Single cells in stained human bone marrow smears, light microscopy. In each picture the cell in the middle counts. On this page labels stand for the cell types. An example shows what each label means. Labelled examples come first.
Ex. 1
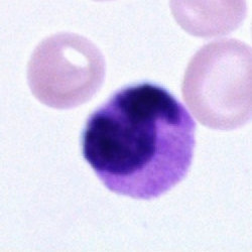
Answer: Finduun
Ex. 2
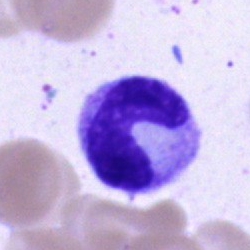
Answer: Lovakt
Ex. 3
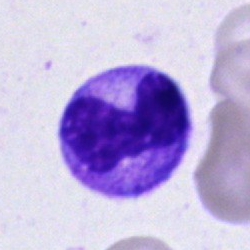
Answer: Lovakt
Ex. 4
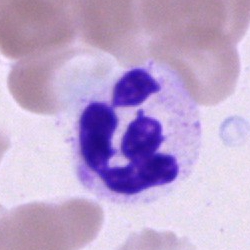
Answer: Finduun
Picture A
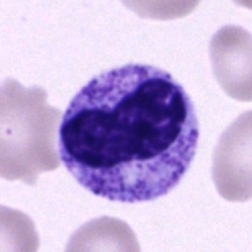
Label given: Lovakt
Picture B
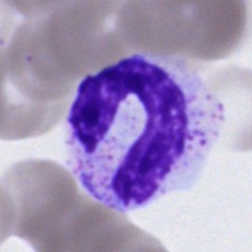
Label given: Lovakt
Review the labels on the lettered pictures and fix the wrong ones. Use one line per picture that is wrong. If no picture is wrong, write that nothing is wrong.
None of the labels needs changing.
